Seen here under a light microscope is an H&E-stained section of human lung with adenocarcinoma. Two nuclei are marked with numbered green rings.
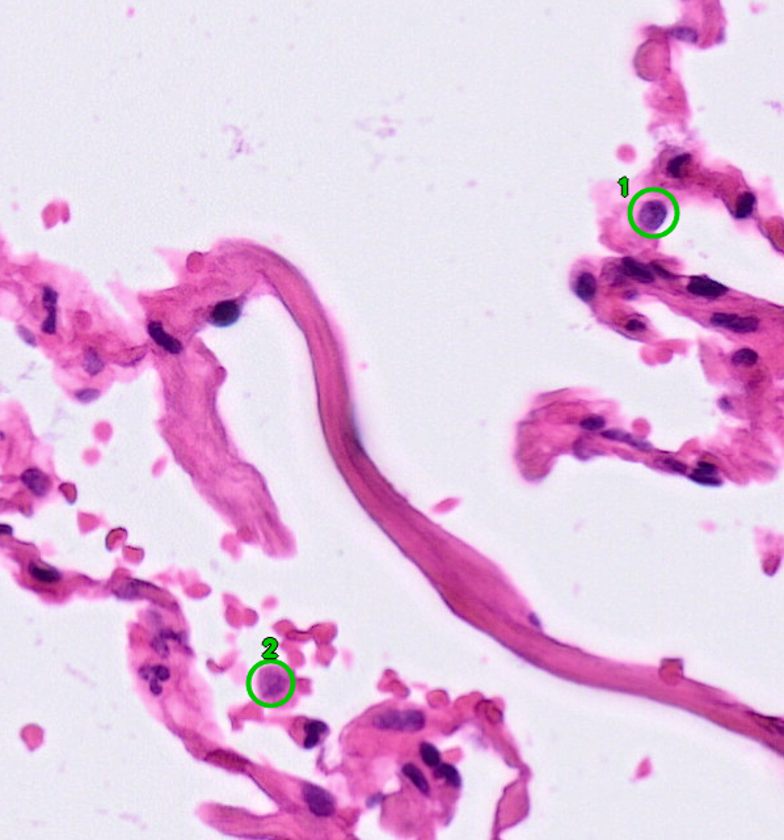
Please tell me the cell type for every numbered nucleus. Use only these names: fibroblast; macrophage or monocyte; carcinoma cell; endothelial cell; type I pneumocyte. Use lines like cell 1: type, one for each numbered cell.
cell 1: type I pneumocyte
cell 2: macrophage or monocyte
